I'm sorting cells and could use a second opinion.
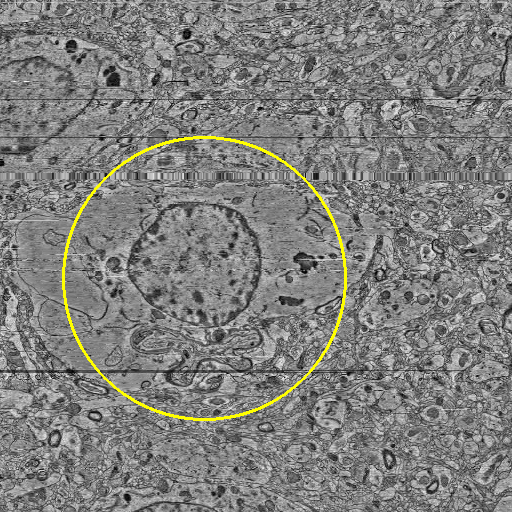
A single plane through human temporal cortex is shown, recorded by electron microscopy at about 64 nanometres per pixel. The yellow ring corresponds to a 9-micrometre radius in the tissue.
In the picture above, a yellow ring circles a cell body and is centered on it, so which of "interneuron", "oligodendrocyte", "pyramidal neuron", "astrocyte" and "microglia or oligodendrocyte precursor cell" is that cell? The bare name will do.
astrocyte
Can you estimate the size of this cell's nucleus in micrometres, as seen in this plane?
Roughly 8 micrometres across for the nucleus, in this plane.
